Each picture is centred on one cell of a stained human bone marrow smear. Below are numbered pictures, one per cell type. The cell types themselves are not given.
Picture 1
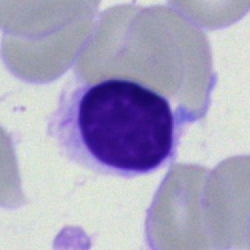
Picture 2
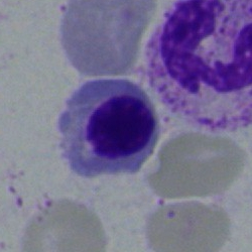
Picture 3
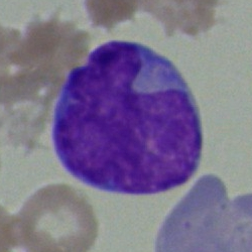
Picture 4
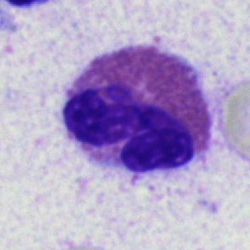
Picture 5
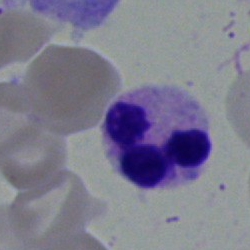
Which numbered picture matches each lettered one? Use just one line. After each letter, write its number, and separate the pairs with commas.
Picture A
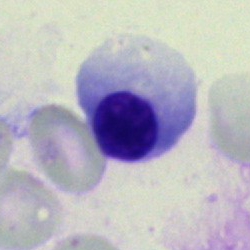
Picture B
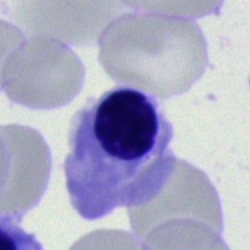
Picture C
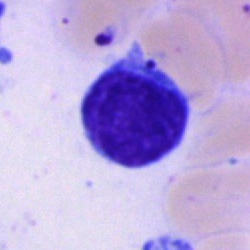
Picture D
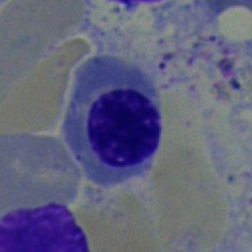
A 2, B 2, C 1, D 2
